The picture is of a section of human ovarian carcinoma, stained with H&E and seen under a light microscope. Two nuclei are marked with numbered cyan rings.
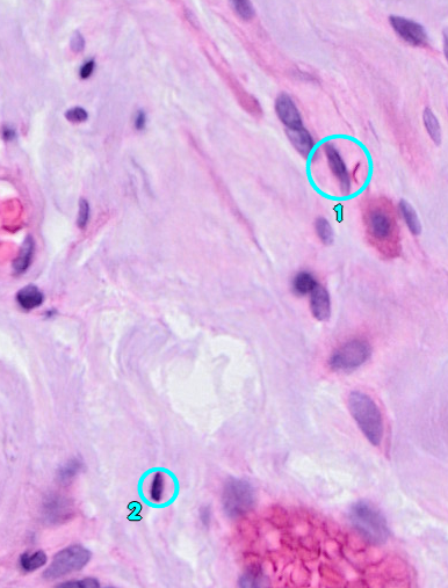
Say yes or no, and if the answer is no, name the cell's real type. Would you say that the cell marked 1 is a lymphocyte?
No, it is an endothelial cell.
